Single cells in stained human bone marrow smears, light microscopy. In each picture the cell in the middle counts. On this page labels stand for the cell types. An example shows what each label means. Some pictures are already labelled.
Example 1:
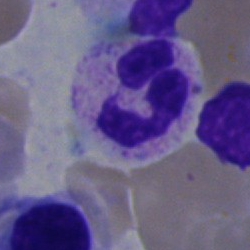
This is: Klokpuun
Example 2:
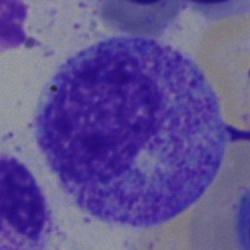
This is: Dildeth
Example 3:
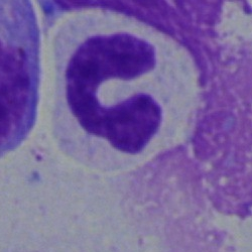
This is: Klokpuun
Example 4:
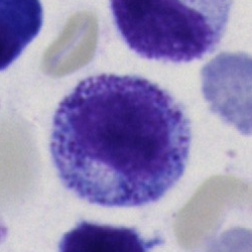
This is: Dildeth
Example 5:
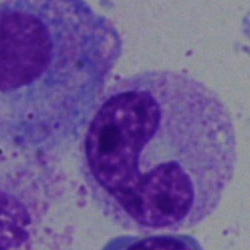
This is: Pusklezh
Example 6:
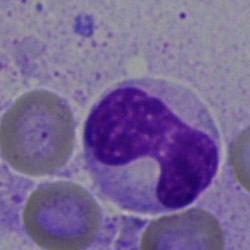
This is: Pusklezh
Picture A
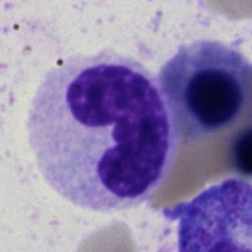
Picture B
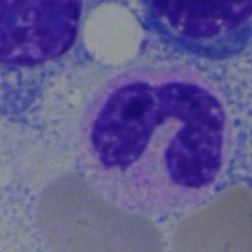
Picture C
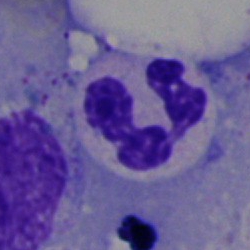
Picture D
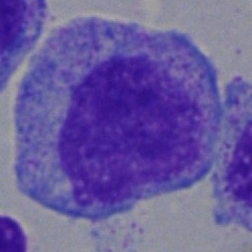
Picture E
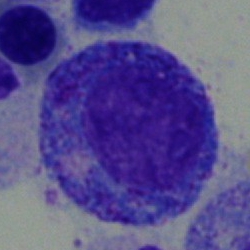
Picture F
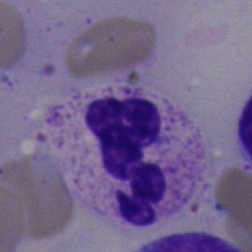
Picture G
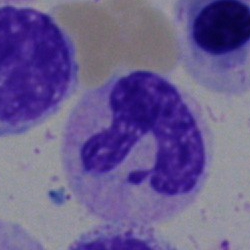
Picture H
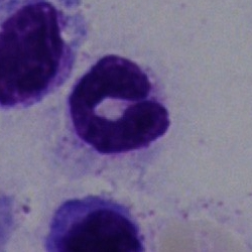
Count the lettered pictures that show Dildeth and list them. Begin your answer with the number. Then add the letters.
2: D, E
